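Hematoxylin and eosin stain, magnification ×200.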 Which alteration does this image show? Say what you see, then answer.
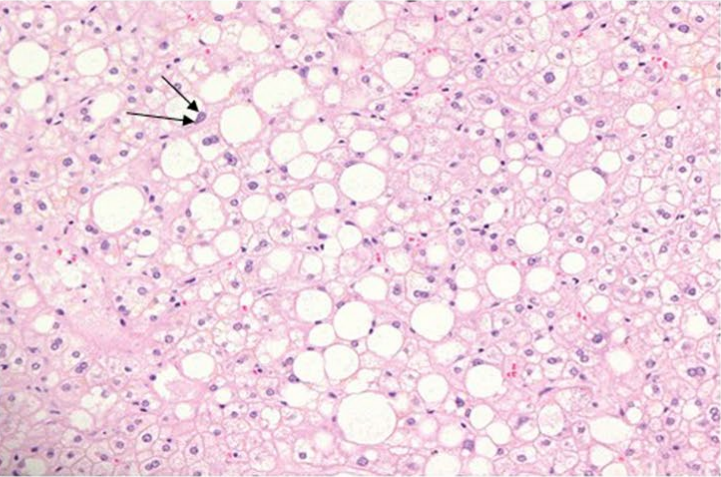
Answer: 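Macrovesicular steatosis. Many cells are filled by single large round clear vacuoles. Vacuoles vary in size, with many as large as or larger than a whole cell.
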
